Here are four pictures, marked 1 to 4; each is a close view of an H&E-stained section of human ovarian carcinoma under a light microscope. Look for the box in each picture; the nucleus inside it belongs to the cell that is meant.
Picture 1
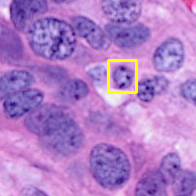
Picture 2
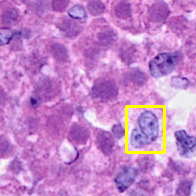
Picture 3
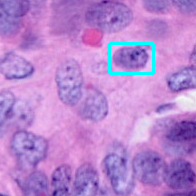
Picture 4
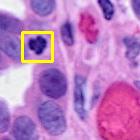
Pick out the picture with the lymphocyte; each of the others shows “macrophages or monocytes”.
4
